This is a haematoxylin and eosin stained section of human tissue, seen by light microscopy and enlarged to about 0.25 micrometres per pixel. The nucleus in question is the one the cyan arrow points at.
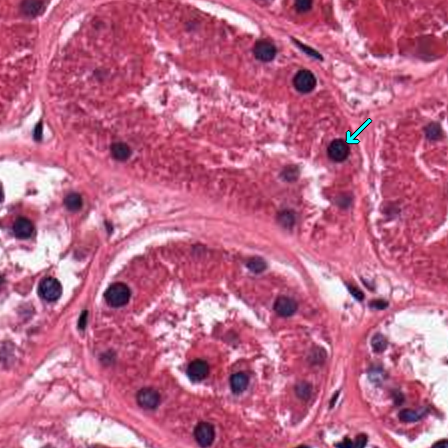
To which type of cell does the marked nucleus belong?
proximal tubule cell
